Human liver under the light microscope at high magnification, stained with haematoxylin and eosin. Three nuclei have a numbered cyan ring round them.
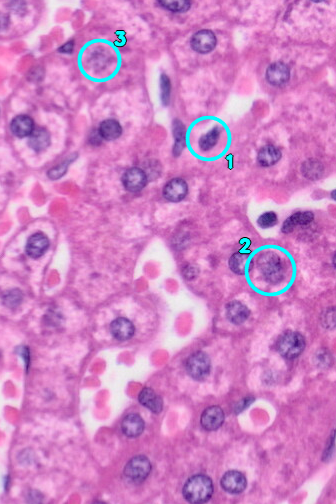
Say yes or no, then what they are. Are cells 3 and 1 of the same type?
No, as for cell 3, it is a hepatocyte, and cell 1 is a lymphocyte.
